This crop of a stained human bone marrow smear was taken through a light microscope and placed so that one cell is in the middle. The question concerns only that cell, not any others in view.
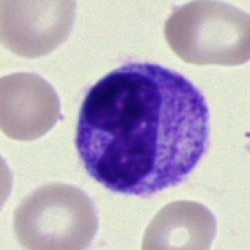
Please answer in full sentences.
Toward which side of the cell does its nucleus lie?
The nucleus lies toward the left of the cell.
